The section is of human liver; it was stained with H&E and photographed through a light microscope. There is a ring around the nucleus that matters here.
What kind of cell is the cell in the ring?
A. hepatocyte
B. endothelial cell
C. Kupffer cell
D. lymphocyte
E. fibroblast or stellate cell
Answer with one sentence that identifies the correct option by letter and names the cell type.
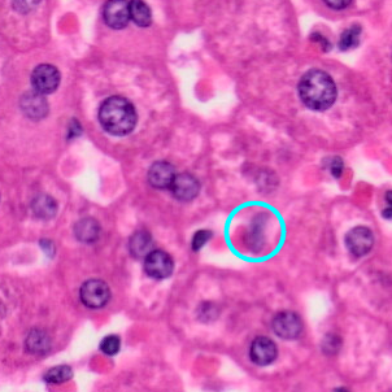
Settle on option C; the cell in the ring is a Kupffer cell.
